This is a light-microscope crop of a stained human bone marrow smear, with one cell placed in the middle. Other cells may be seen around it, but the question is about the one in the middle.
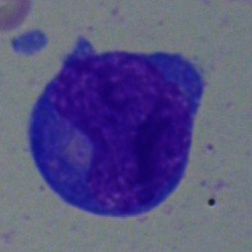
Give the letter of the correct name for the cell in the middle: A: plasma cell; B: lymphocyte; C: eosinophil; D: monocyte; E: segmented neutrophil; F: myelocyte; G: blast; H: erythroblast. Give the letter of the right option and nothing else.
G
